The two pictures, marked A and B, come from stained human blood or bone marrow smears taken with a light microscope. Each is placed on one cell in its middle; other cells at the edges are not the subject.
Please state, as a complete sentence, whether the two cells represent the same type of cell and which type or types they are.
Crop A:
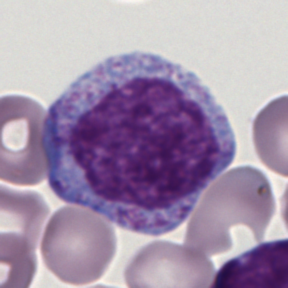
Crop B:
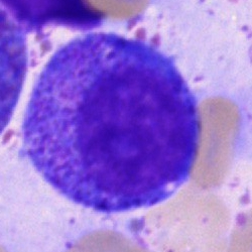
Yes, the two crops show promyelocytes, one cell each.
